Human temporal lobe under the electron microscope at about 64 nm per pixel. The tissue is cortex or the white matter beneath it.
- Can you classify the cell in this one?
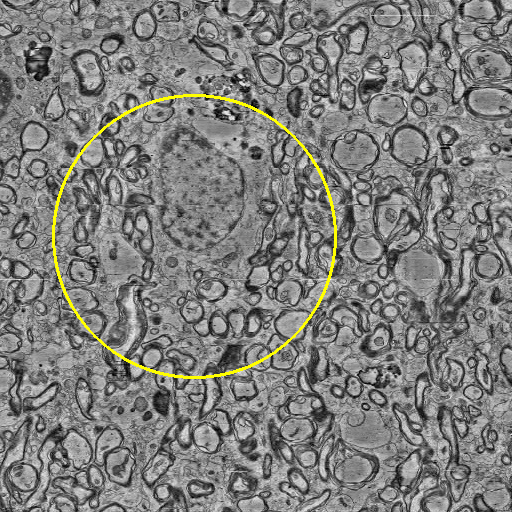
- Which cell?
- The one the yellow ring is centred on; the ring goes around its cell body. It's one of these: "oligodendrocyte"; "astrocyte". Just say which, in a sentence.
The cell body in the ring belongs to an astrocyte.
